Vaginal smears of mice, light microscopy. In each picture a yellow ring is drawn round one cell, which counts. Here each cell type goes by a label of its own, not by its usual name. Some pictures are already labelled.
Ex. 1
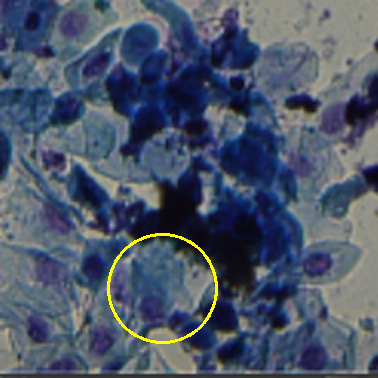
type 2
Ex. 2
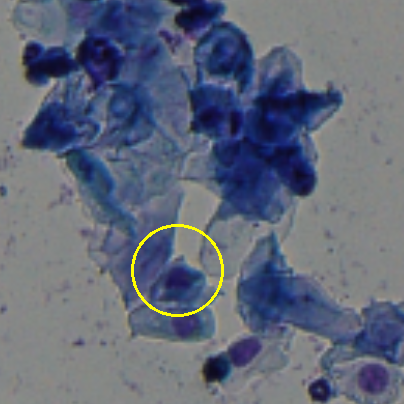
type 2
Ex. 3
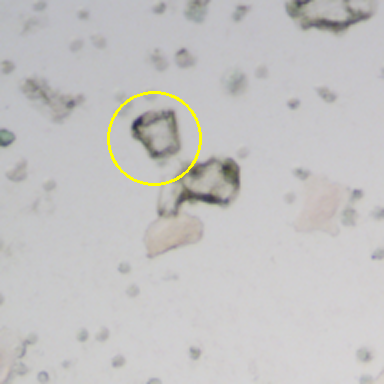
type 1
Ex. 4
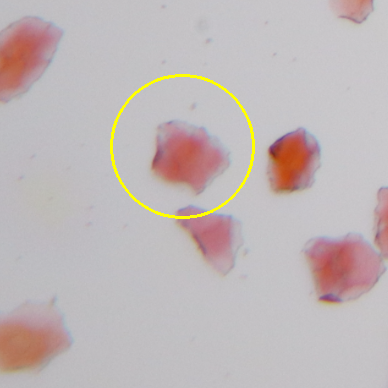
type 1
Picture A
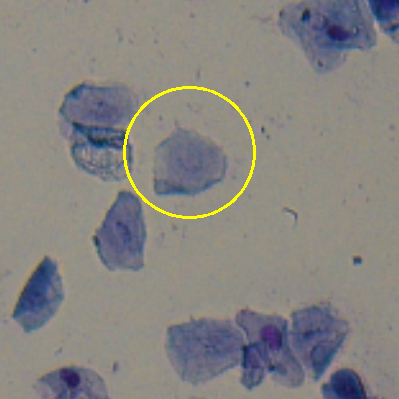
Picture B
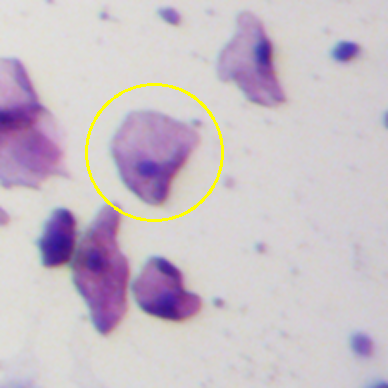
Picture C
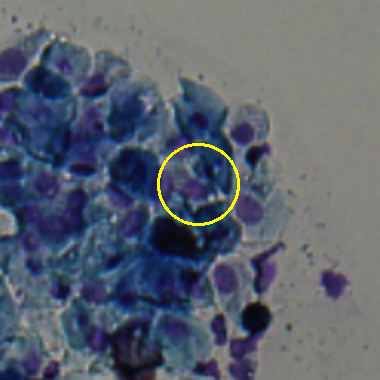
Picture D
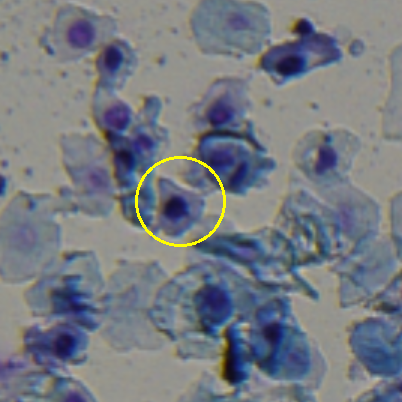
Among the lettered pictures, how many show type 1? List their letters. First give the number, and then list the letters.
1, namely A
